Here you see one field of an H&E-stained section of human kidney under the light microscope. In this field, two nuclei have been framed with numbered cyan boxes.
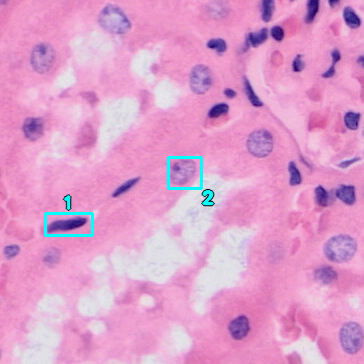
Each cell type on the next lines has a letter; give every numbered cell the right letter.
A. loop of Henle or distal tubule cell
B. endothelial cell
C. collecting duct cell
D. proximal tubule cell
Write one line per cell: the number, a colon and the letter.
1: B
2: D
